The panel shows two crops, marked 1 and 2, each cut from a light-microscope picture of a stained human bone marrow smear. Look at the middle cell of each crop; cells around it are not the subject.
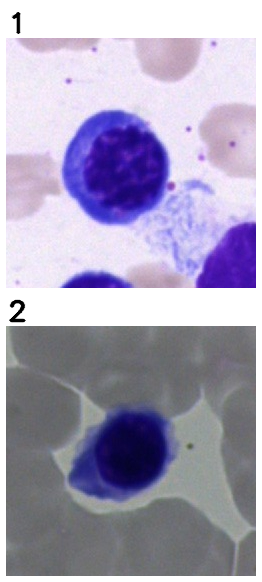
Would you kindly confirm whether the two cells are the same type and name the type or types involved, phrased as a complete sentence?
Yes, the two crops are alike in showing erythroblasts.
